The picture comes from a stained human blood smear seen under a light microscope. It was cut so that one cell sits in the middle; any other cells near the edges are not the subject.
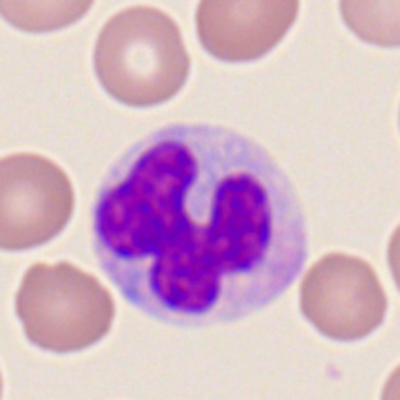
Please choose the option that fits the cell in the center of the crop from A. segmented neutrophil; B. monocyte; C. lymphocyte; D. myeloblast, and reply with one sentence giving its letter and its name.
At the centre of the crop lies a monocyte, which makes option B correct.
